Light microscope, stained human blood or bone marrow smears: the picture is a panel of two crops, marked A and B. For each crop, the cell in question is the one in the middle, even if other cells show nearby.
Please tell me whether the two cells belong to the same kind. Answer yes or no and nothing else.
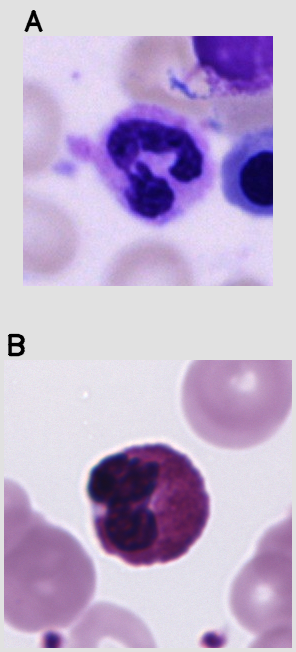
no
